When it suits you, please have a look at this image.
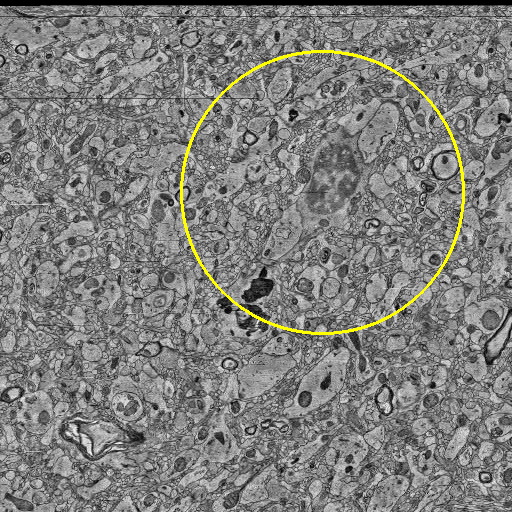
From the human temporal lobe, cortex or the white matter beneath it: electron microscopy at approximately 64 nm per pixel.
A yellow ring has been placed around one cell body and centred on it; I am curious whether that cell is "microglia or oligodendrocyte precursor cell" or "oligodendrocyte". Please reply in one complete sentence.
The ringed cell, an oligodendrocyte, has its body at the centre of the yellow ring.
